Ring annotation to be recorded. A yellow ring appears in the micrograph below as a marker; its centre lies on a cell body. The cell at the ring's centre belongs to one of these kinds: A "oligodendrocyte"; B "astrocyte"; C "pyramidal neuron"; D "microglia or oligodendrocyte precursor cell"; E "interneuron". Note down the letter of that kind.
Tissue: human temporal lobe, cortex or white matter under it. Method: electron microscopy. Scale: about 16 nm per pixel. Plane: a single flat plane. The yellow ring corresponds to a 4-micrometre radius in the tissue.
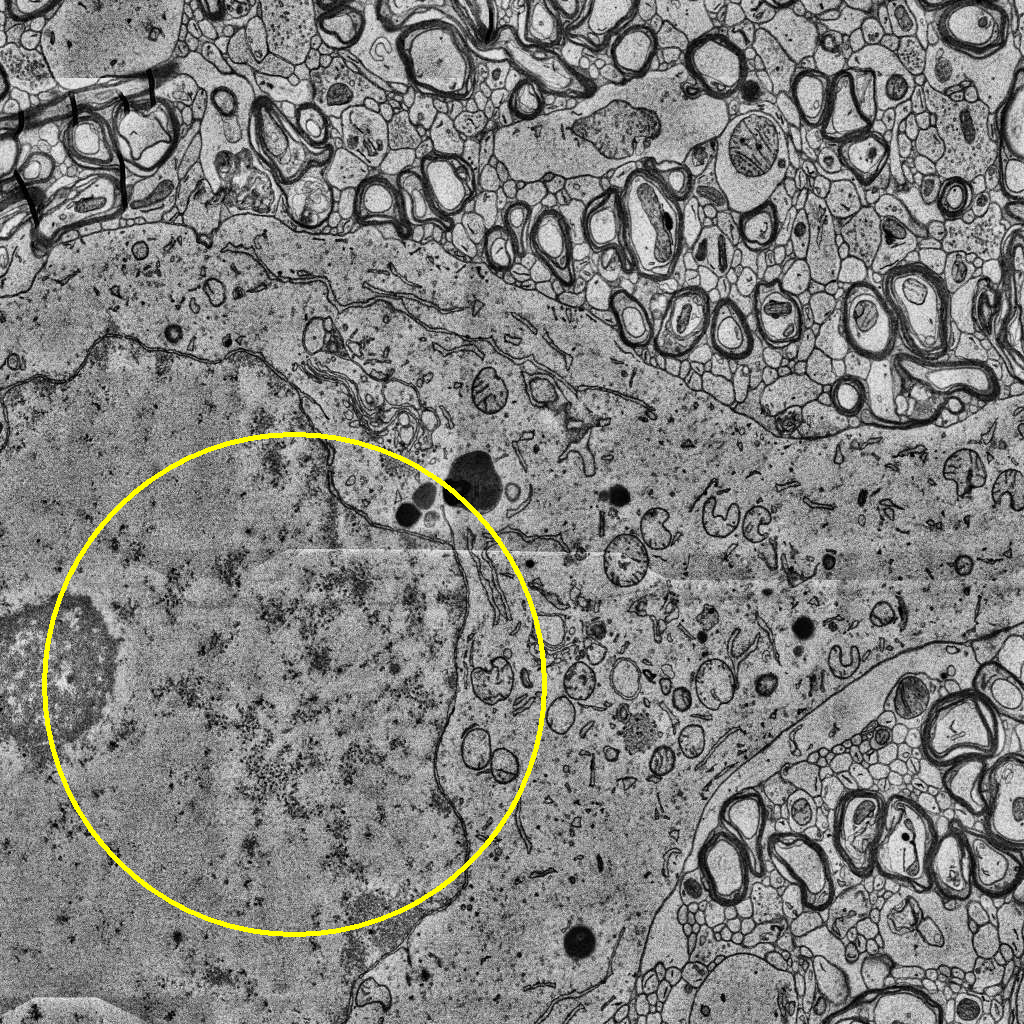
C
